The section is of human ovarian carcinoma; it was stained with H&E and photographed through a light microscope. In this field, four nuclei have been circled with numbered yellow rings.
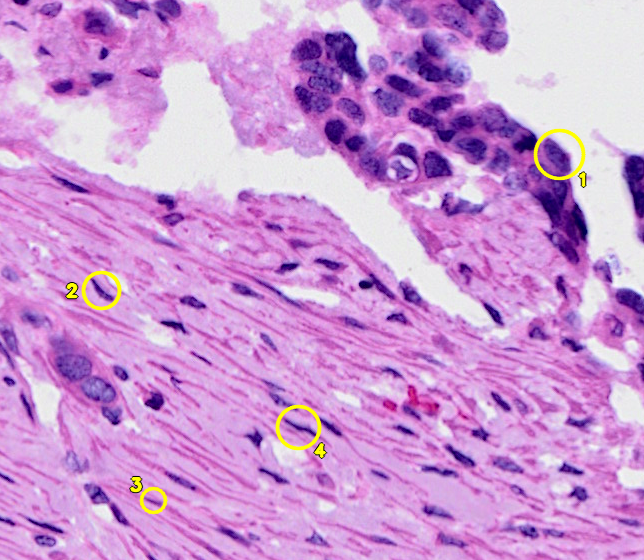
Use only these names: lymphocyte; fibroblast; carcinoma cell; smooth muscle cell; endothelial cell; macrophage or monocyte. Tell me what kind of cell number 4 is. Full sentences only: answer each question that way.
The cell that carries the label 4 is a fibroblast.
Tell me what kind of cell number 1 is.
The one labeled 1 is a carcinoma cell, to put it simply.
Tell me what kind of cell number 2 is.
At number 2, the marked cell is a fibroblast.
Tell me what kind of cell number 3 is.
Belonging to a fibroblast is the nucleus that carries the number 3.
